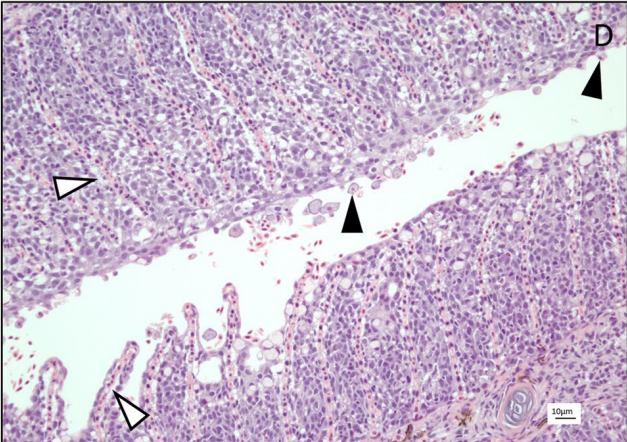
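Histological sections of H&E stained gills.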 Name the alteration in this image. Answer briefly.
diffuse lamellar fusion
